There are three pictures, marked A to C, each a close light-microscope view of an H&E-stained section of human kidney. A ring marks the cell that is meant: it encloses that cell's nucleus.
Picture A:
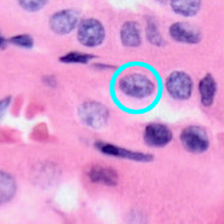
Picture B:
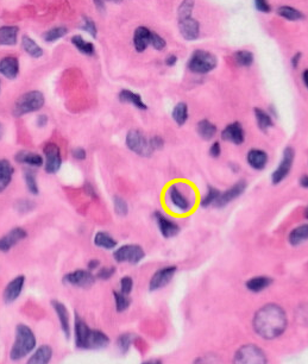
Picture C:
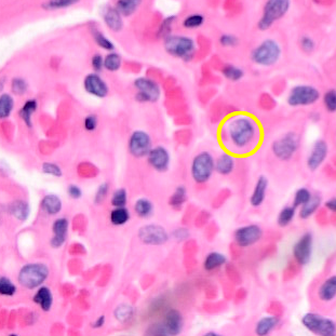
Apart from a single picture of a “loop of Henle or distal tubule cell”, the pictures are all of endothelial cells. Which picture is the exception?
A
